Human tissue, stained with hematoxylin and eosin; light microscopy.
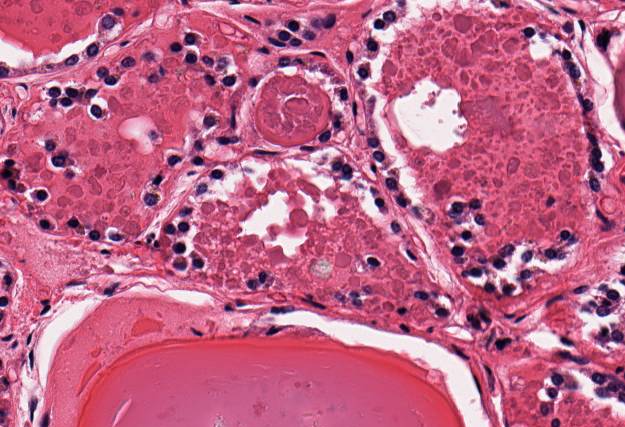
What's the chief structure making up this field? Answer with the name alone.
thyroid follicle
